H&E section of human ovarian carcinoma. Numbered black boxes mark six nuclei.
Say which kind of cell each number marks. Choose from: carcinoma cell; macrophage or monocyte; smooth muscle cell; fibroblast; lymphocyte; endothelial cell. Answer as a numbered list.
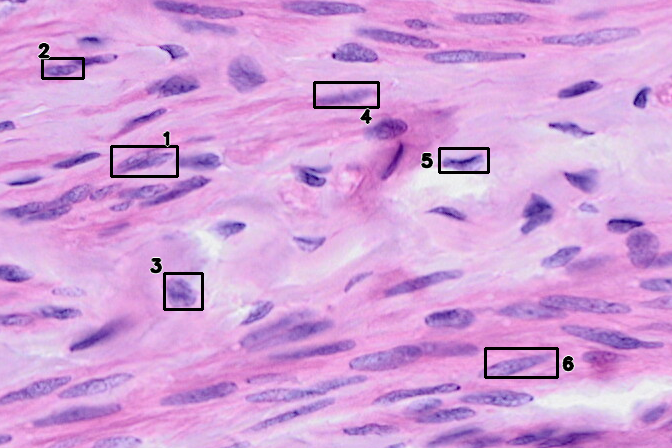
1. smooth muscle cell
2. smooth muscle cell
3. fibroblast
4. smooth muscle cell
5. fibroblast
6. smooth muscle cell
